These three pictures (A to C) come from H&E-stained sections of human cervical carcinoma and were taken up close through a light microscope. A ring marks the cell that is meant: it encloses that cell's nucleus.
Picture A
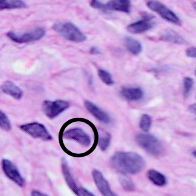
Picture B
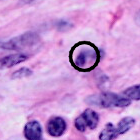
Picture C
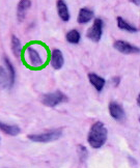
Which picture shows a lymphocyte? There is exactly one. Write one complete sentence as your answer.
The picture with the lymphocyte is B.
